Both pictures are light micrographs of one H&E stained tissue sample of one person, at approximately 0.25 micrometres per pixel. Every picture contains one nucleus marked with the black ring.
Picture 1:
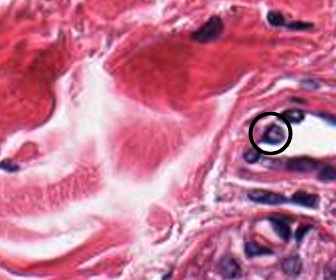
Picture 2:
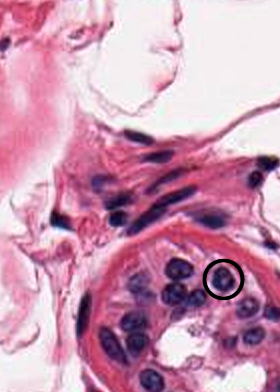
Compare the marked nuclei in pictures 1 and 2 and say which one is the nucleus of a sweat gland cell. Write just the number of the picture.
2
